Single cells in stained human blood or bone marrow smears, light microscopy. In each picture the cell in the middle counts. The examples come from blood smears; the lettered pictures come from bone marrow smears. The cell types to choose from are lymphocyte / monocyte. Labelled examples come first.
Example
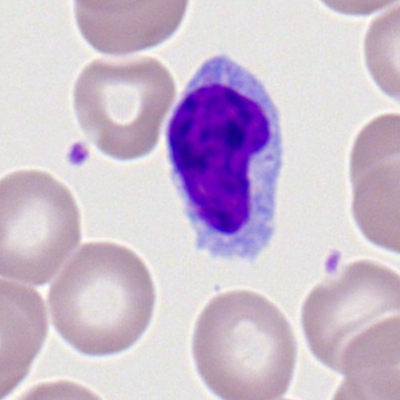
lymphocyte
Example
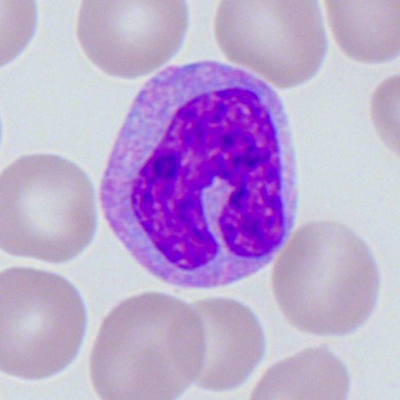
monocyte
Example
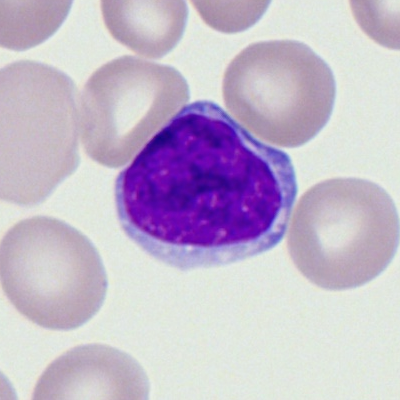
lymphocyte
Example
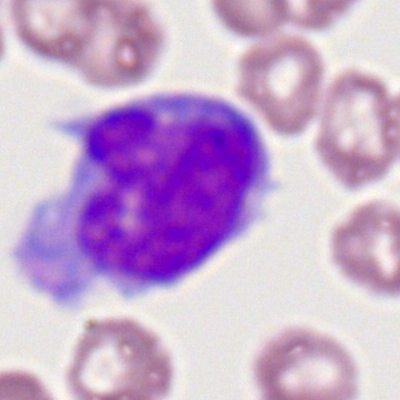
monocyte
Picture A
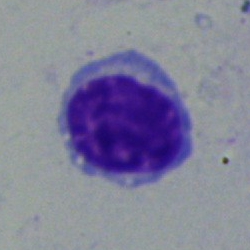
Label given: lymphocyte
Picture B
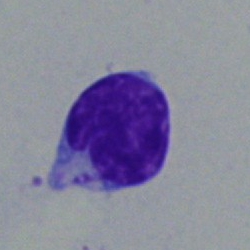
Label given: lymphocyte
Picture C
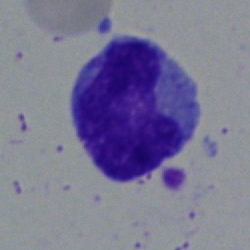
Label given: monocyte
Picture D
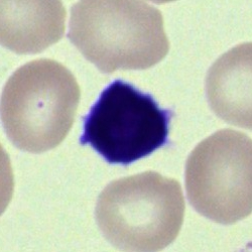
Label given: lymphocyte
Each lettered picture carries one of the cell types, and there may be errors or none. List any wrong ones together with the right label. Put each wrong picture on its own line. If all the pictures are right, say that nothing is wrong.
No label is wrong.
